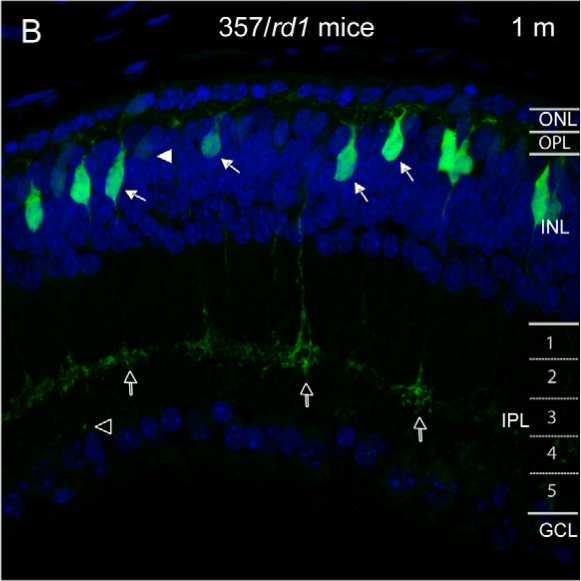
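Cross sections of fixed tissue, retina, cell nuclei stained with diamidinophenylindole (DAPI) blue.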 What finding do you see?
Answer: Reduced to a single row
